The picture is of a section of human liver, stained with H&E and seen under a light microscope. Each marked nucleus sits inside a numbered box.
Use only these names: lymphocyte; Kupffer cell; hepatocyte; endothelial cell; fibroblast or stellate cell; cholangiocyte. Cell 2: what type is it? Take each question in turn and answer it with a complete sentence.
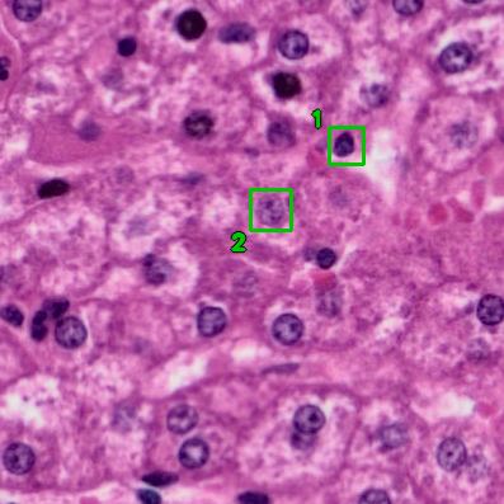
The cell referenced by the number 2 is a hepatocyte in this field.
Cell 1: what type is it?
The cell given label 1 is a lymphocyte.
